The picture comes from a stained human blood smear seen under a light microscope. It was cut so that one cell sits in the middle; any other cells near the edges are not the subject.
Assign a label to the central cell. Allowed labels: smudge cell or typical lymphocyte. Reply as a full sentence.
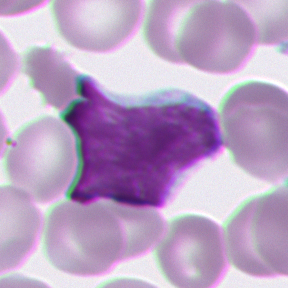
Classification of the middle cell gives a typical lymphocyte.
